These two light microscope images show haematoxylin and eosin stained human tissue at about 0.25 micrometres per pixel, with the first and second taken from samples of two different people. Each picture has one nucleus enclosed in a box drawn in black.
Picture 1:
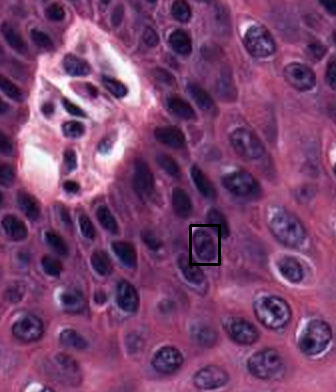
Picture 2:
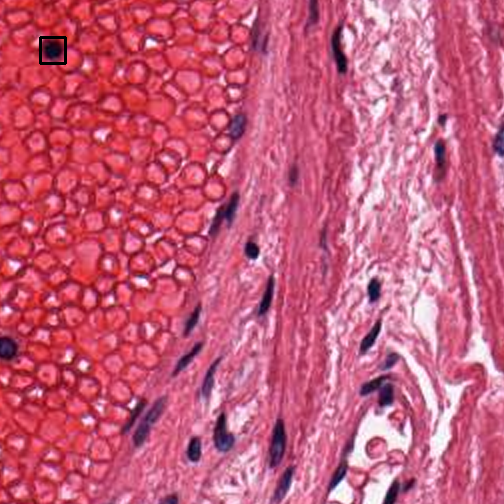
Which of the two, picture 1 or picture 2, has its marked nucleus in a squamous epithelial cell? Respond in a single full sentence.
Marked in picture 1 is the nucleus of a squamous epithelial cell.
